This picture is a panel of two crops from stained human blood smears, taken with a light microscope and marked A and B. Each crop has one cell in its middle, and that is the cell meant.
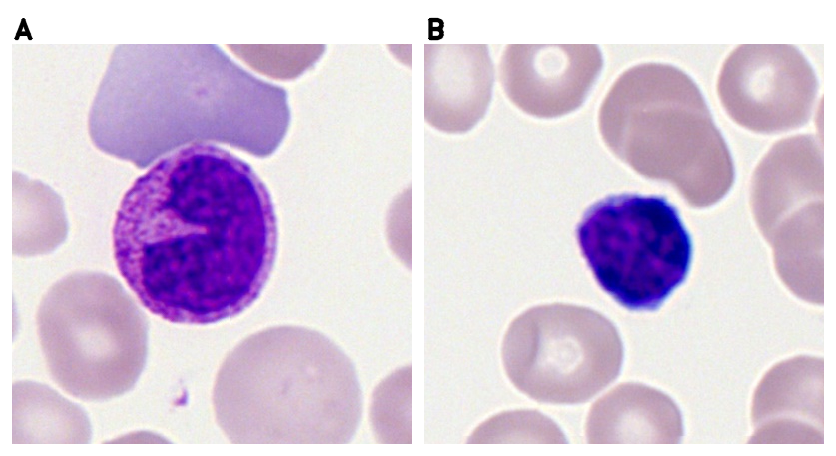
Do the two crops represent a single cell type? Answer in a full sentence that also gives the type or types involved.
No, a lymphocyte is the cell of crop B, while a basophil is the cell of crop A.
